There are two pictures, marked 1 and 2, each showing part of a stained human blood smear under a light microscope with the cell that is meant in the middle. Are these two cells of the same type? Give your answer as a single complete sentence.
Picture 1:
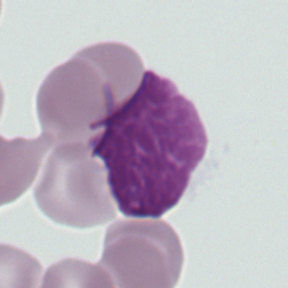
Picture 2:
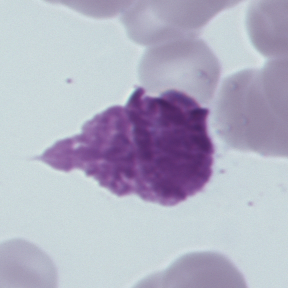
Yes, both cells are smudge cells.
